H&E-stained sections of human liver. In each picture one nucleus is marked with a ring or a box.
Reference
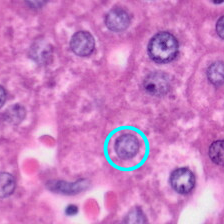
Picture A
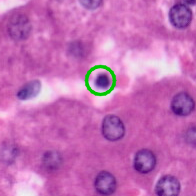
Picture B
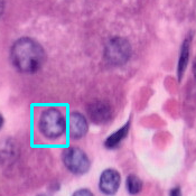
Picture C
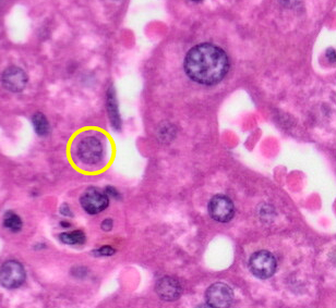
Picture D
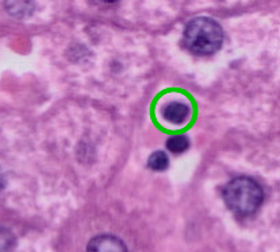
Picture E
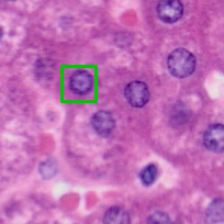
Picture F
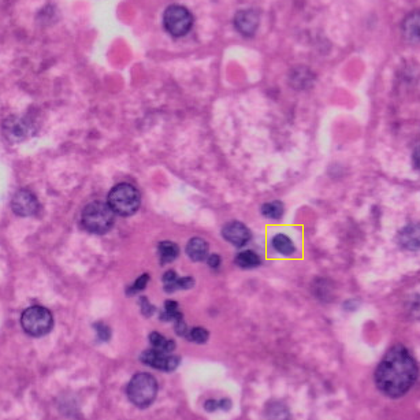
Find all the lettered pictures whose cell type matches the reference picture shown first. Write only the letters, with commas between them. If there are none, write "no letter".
C, E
